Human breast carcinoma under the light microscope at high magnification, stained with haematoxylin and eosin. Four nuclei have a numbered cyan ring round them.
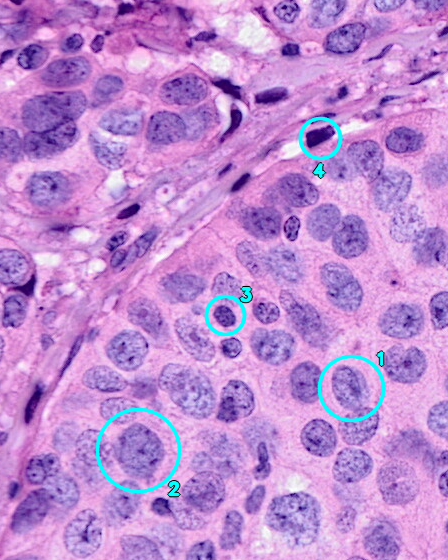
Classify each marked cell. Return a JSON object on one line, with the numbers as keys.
{"1": "carcinoma cell", "2": "carcinoma cell", "3": "lymphocyte", "4": "carcinoma cell"}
